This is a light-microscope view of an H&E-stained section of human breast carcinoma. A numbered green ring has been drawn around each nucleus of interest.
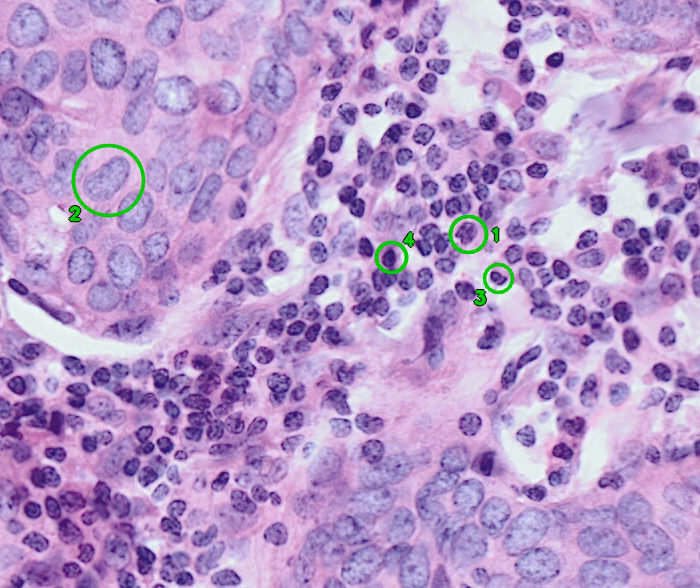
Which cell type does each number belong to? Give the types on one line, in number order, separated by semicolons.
lymphocyte; carcinoma cell; lymphocyte; lymphocyte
